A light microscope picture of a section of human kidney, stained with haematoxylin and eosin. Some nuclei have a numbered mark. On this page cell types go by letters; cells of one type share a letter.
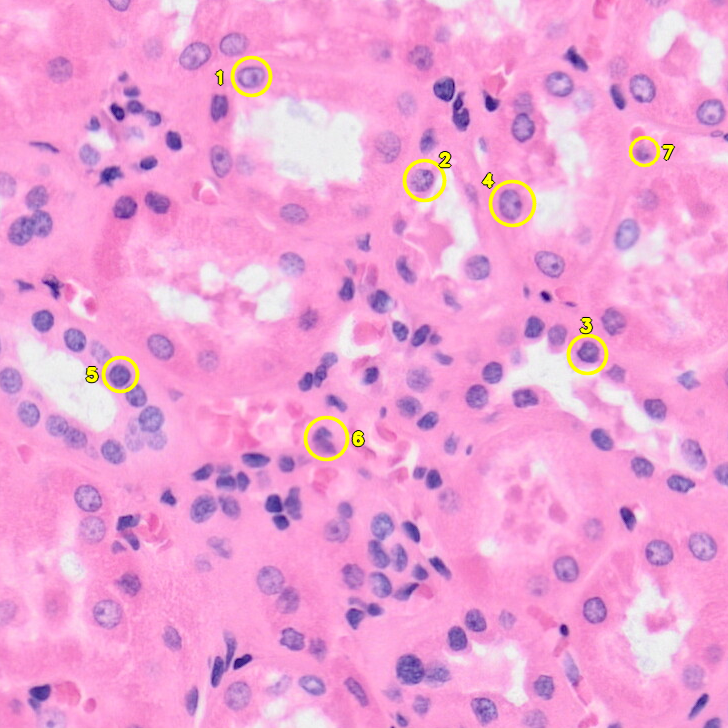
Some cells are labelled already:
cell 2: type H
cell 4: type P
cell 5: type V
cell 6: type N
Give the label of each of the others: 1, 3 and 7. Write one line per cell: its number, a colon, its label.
1: type P
3: type H
7: type N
